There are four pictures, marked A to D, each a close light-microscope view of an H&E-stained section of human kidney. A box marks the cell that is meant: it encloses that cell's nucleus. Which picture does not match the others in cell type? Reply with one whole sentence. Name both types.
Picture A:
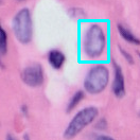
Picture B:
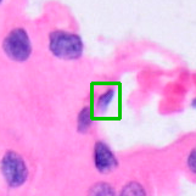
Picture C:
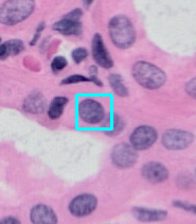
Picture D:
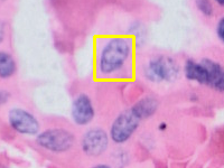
Unlike the rest, which show collecting duct cells, picture B shows an endothelial cell.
